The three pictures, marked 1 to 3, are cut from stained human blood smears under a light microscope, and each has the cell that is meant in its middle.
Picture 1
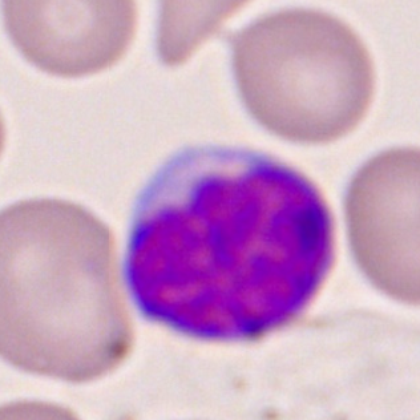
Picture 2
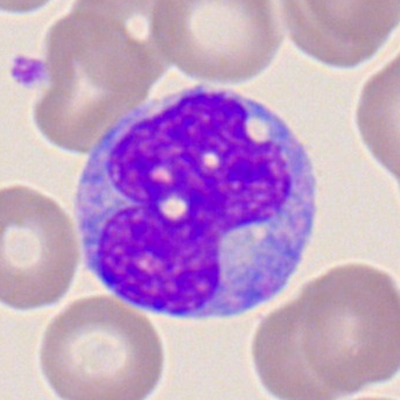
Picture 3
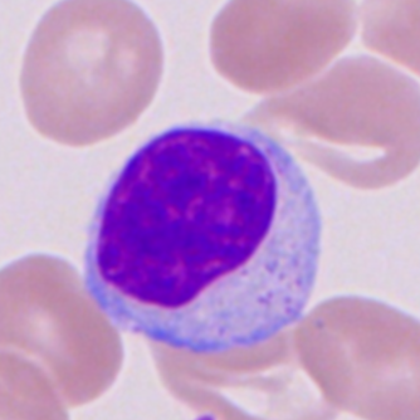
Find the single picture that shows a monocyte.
2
